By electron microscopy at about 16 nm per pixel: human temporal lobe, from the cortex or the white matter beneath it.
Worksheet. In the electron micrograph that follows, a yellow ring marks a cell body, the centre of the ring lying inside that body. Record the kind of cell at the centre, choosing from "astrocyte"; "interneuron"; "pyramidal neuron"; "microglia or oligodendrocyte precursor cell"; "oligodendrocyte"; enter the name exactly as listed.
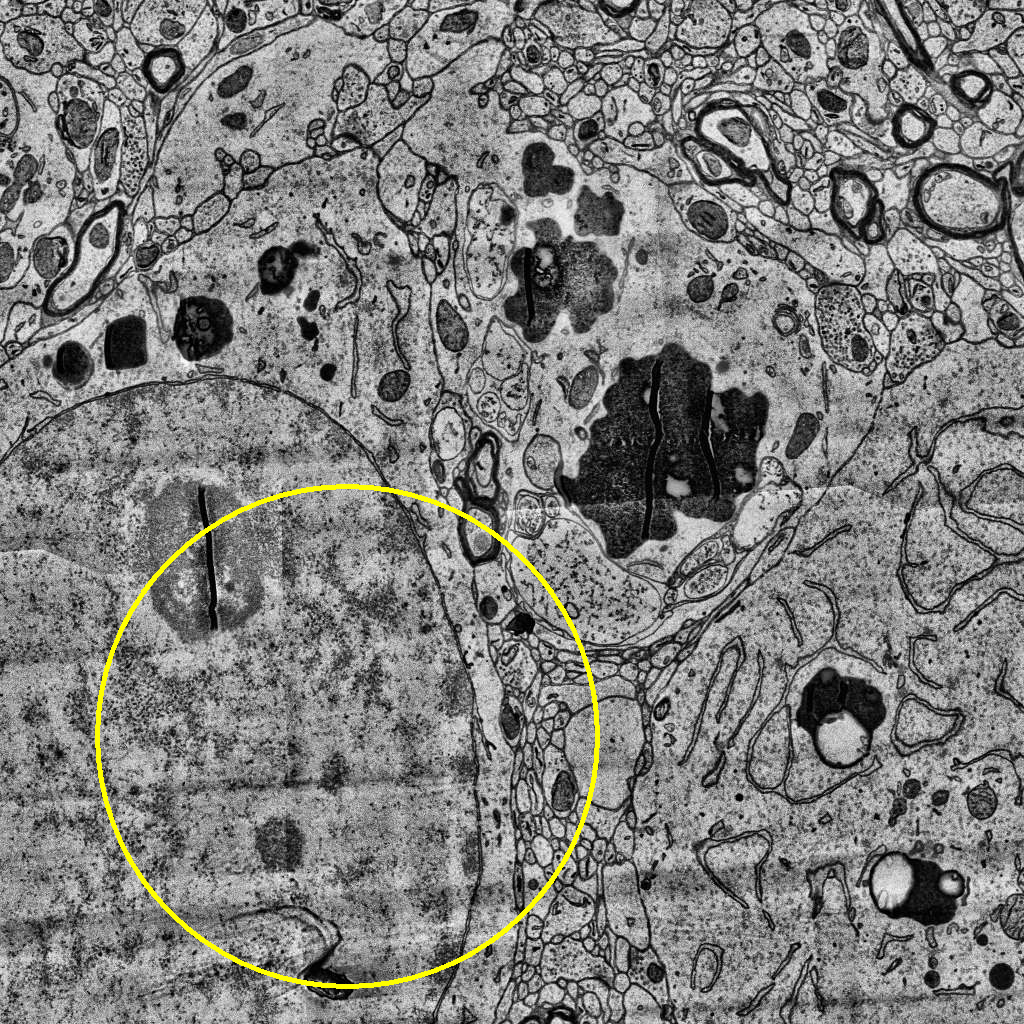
pyramidal neuron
